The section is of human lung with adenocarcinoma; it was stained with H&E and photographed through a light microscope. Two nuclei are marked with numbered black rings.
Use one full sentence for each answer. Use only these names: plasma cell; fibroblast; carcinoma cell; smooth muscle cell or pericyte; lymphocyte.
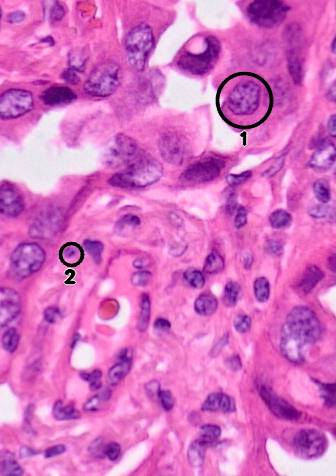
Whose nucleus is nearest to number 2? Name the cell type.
The cell nearest to number 2 is a lymphocyte.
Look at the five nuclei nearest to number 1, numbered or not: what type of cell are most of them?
Carcinoma cells account for more than half of the five nuclei nearest to number 1.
